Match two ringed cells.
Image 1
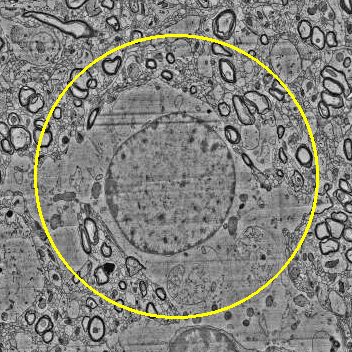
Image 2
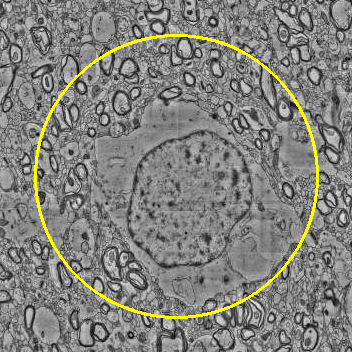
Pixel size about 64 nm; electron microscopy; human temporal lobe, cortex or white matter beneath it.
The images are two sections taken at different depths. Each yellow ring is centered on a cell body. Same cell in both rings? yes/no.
no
